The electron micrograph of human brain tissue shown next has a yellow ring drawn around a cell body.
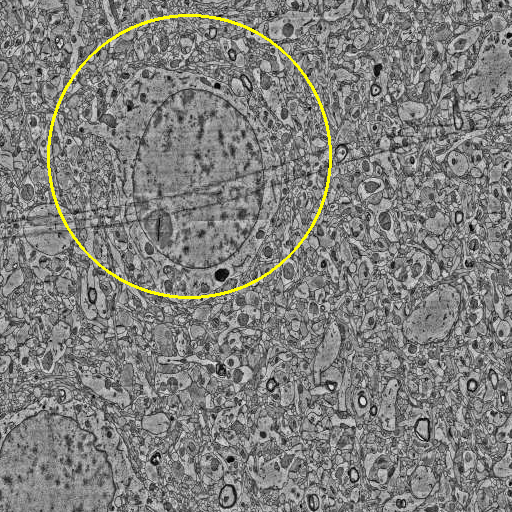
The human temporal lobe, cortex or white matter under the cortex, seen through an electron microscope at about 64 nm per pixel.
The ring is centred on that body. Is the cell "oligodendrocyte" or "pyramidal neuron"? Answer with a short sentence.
The cell in question is a pyramidal neuron.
